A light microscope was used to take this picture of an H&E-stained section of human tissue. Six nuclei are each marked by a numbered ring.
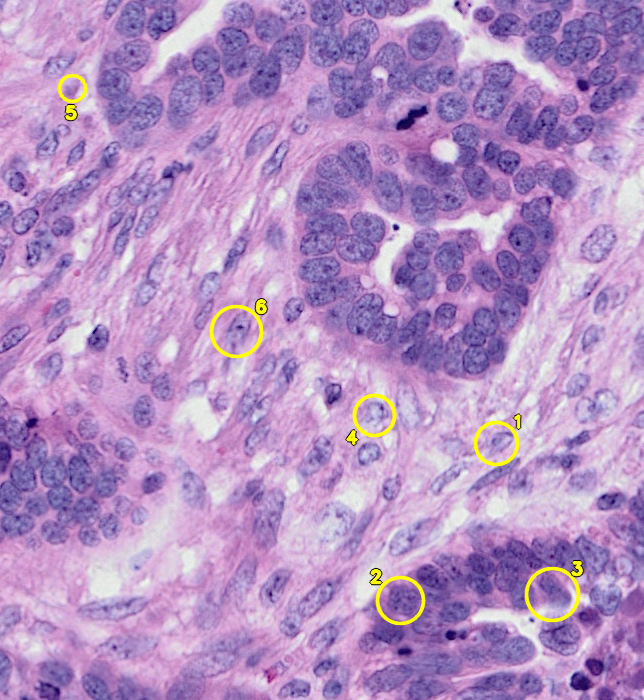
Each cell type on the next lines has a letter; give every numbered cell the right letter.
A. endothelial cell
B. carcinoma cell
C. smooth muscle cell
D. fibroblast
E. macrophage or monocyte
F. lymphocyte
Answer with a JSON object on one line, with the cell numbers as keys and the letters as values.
{"1": "D", "2": "B", "3": "B", "4": "D", "5": "D", "6": "D"}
